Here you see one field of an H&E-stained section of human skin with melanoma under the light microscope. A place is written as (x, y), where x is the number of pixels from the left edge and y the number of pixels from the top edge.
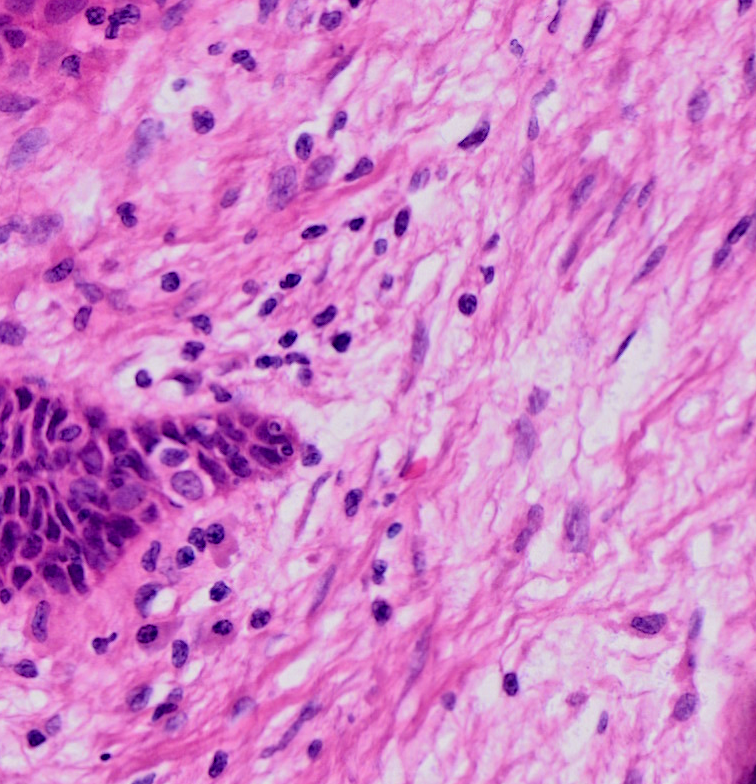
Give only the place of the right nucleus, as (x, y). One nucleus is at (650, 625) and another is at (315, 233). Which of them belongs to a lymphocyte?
(315, 233)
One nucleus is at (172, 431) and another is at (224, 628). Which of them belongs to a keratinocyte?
(172, 431)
